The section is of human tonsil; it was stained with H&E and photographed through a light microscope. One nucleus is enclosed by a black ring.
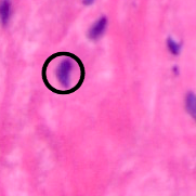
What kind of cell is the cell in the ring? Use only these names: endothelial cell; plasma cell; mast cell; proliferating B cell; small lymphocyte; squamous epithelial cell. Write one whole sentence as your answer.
The category to which the cell in the ring belongs is that of a mast cell.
